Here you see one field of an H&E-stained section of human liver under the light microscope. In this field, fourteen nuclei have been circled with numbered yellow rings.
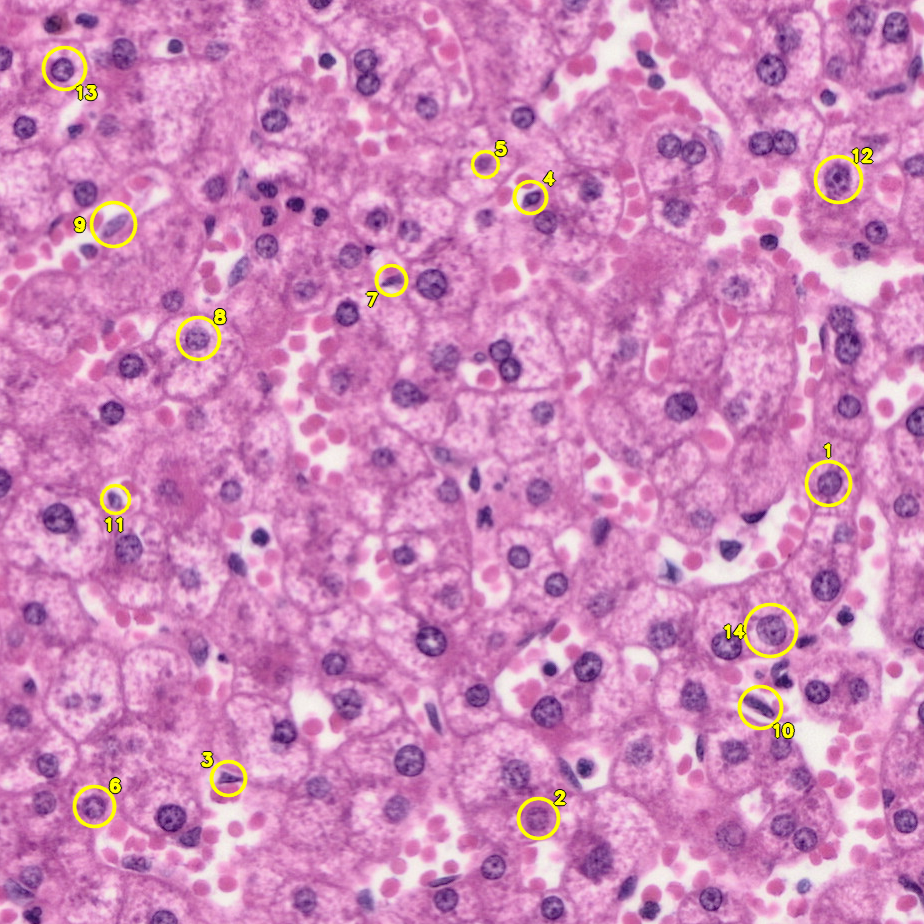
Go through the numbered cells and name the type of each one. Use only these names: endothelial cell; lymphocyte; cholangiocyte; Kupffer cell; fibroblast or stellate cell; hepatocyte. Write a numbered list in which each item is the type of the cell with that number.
1. hepatocyte
2. hepatocyte
3. endothelial cell
4. lymphocyte
5. hepatocyte
6. hepatocyte
7. endothelial cell
8. hepatocyte
9. Kupffer cell
10. Kupffer cell
11. lymphocyte
12. hepatocyte
13. hepatocyte
14. hepatocyte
